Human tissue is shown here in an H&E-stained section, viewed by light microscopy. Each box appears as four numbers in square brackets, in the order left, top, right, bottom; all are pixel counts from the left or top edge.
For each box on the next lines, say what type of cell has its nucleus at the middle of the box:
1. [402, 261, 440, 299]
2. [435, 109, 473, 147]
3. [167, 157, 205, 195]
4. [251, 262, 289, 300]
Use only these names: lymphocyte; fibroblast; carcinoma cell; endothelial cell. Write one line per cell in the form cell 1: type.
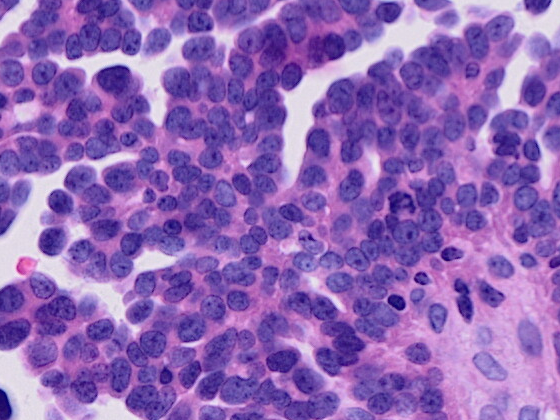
cell 1: lymphocyte
cell 2: carcinoma cell
cell 3: carcinoma cell
cell 4: carcinoma cell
